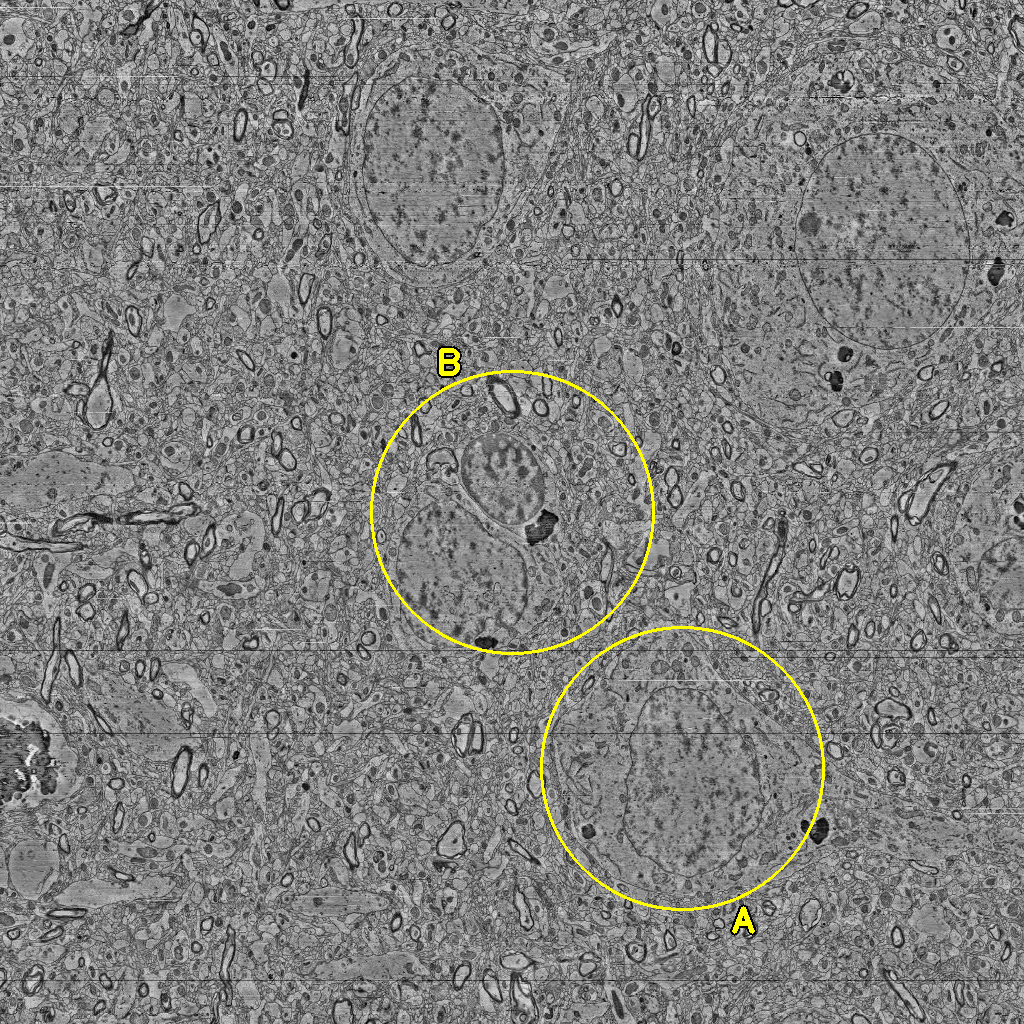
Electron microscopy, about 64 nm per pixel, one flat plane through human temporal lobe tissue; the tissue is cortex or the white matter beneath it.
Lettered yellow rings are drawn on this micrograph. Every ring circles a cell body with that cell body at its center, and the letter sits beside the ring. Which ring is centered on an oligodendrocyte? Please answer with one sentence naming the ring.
Ring B has it at its center.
